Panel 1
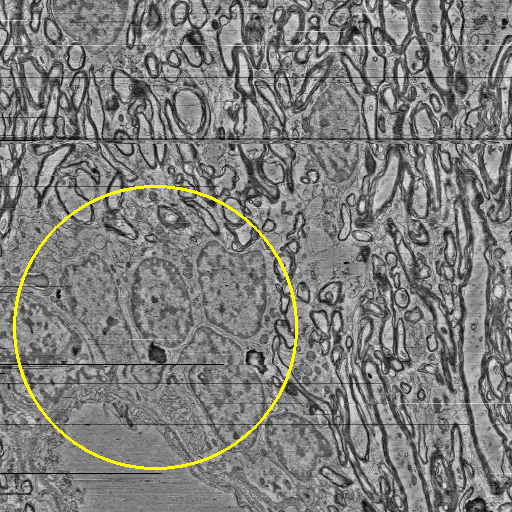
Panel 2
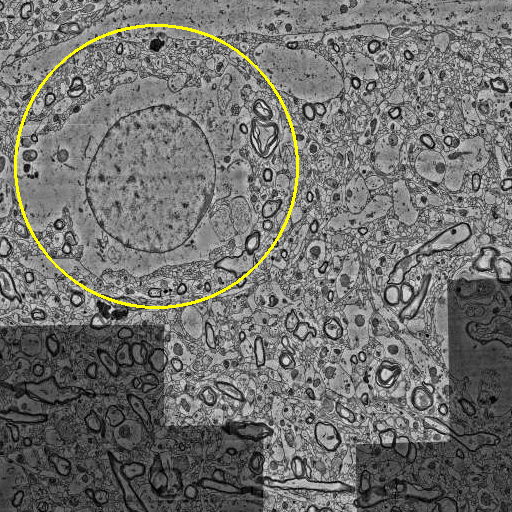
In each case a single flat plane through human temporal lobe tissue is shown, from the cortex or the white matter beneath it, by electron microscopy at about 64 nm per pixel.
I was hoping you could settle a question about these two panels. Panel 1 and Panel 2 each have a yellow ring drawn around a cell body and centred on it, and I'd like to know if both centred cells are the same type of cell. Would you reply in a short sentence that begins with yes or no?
No, they are two types of cell.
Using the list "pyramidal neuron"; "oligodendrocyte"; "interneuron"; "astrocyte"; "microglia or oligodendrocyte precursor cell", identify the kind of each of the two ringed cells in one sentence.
The first is an oligodendrocyte and the second is an astrocyte.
